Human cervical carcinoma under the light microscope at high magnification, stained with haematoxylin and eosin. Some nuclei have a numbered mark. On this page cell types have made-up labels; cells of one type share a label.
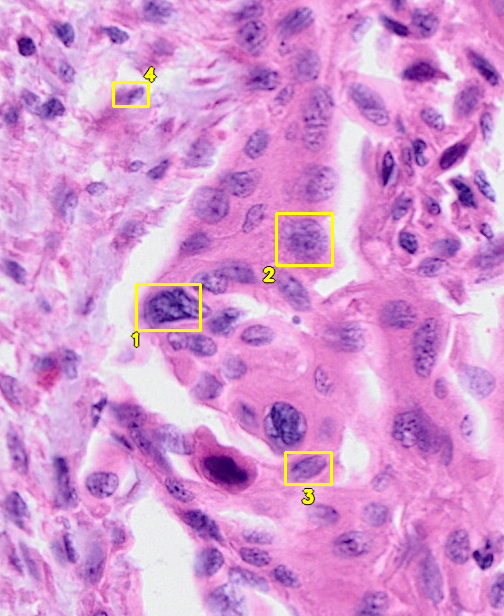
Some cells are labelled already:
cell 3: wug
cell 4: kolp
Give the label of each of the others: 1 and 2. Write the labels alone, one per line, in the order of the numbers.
wug
wug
